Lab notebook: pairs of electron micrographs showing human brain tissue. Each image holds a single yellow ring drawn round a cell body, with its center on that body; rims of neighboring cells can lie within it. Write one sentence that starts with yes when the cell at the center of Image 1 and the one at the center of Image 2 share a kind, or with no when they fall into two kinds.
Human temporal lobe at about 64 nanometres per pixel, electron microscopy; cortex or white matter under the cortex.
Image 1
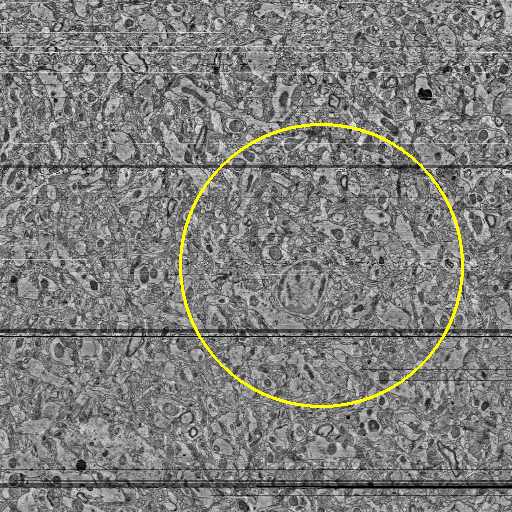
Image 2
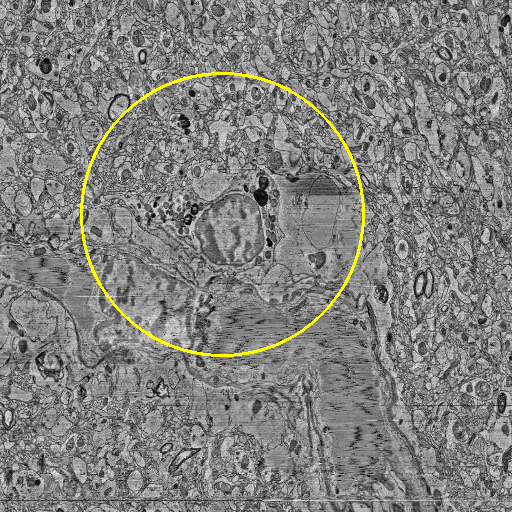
Yes, the centered cell in Image 1 and the centered cell in Image 2 are of one kind.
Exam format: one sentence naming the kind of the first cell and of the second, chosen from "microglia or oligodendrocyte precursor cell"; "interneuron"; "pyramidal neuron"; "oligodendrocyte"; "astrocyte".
Both the first and the second picture show a microglial cell or oligodendrocyte precursor cell in the ring.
